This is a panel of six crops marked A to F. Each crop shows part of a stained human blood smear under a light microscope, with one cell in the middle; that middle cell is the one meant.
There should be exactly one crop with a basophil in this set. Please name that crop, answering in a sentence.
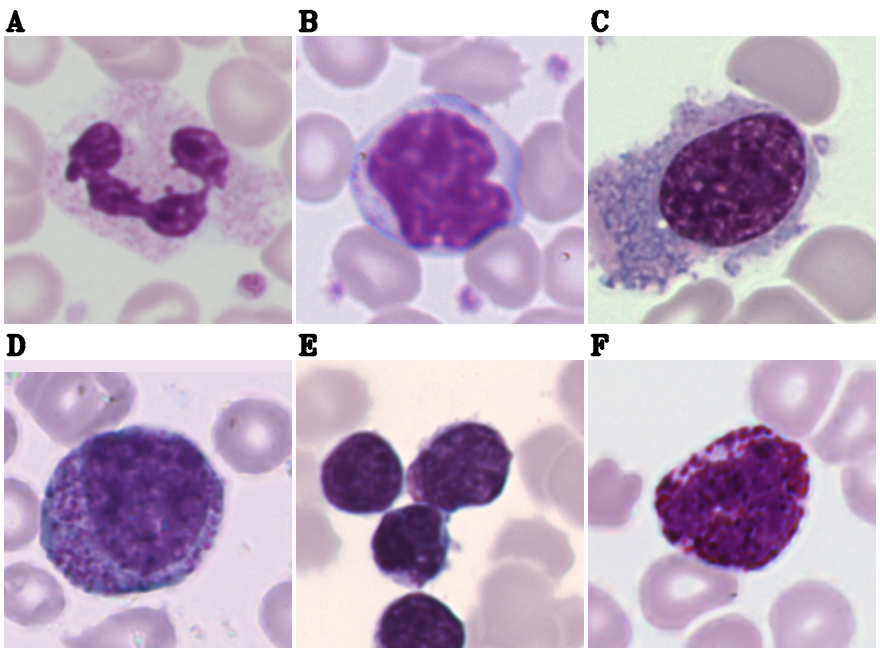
The crop marked F is the one that shows a basophil.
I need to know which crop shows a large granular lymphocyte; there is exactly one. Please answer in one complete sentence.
The requested cell, a large granular lymphocyte, is the one in crop B.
